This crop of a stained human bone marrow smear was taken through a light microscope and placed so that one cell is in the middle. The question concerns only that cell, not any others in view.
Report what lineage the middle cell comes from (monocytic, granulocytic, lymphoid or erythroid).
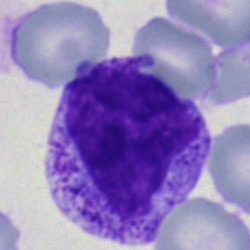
granulocytic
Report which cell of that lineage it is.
myelocyte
